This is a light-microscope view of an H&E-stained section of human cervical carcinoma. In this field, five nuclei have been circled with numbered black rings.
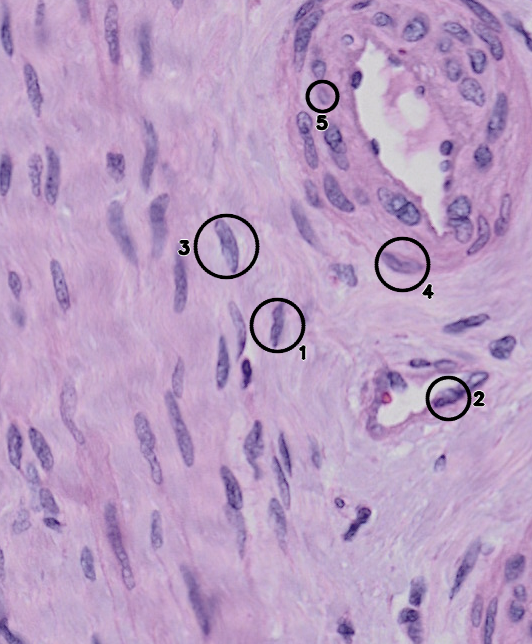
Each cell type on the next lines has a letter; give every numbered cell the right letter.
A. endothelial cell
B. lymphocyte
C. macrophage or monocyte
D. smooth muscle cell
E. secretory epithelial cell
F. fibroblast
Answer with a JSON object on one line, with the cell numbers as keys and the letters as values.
{"1": "F", "2": "A", "3": "F", "4": "D", "5": "D"}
